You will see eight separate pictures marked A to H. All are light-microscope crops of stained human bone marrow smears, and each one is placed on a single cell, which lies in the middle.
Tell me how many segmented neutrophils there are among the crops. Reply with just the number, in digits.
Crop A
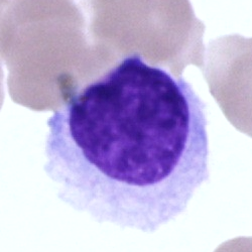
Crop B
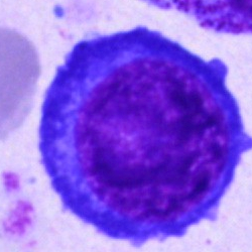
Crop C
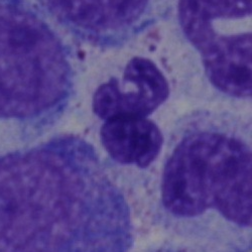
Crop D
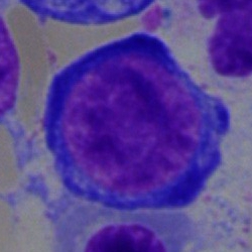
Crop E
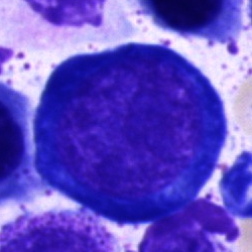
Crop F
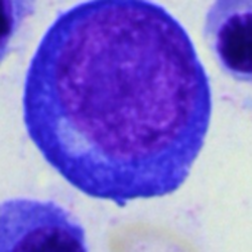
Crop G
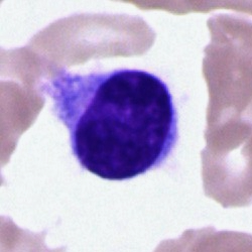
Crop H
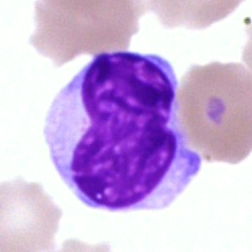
1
